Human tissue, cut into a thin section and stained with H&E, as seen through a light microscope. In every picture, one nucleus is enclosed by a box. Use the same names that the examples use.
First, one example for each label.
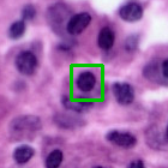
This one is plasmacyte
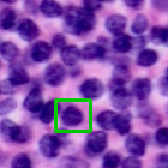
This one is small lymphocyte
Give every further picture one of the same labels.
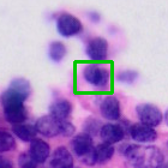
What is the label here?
small lymphocyte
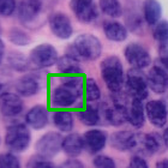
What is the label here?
small lymphocyte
